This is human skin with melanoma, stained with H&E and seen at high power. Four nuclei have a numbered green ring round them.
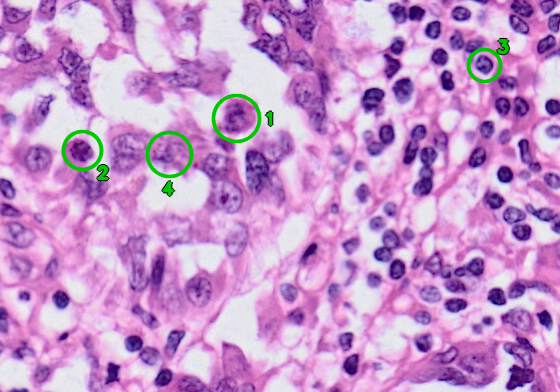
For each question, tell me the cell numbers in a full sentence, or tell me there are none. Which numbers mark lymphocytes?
Exactly one of the numbered cells is a lymphocyte, namely cell 3.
